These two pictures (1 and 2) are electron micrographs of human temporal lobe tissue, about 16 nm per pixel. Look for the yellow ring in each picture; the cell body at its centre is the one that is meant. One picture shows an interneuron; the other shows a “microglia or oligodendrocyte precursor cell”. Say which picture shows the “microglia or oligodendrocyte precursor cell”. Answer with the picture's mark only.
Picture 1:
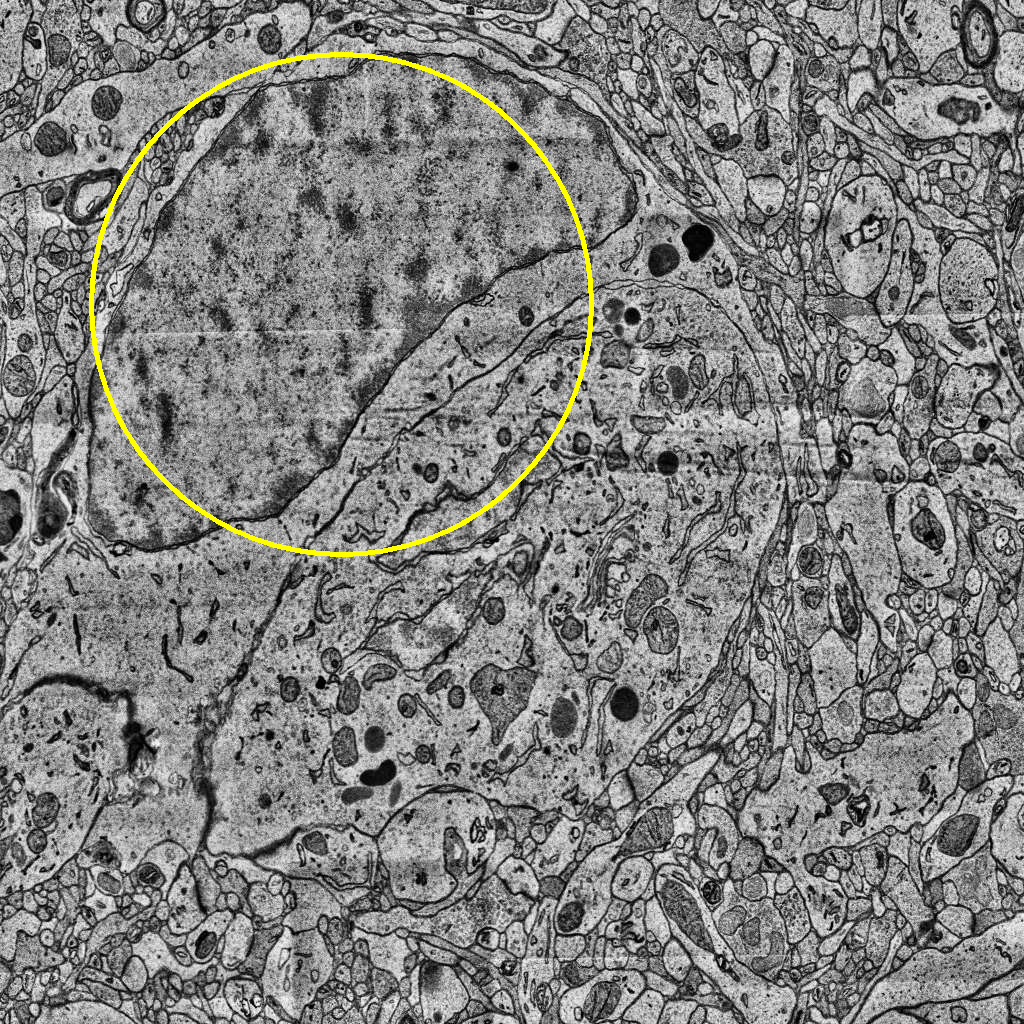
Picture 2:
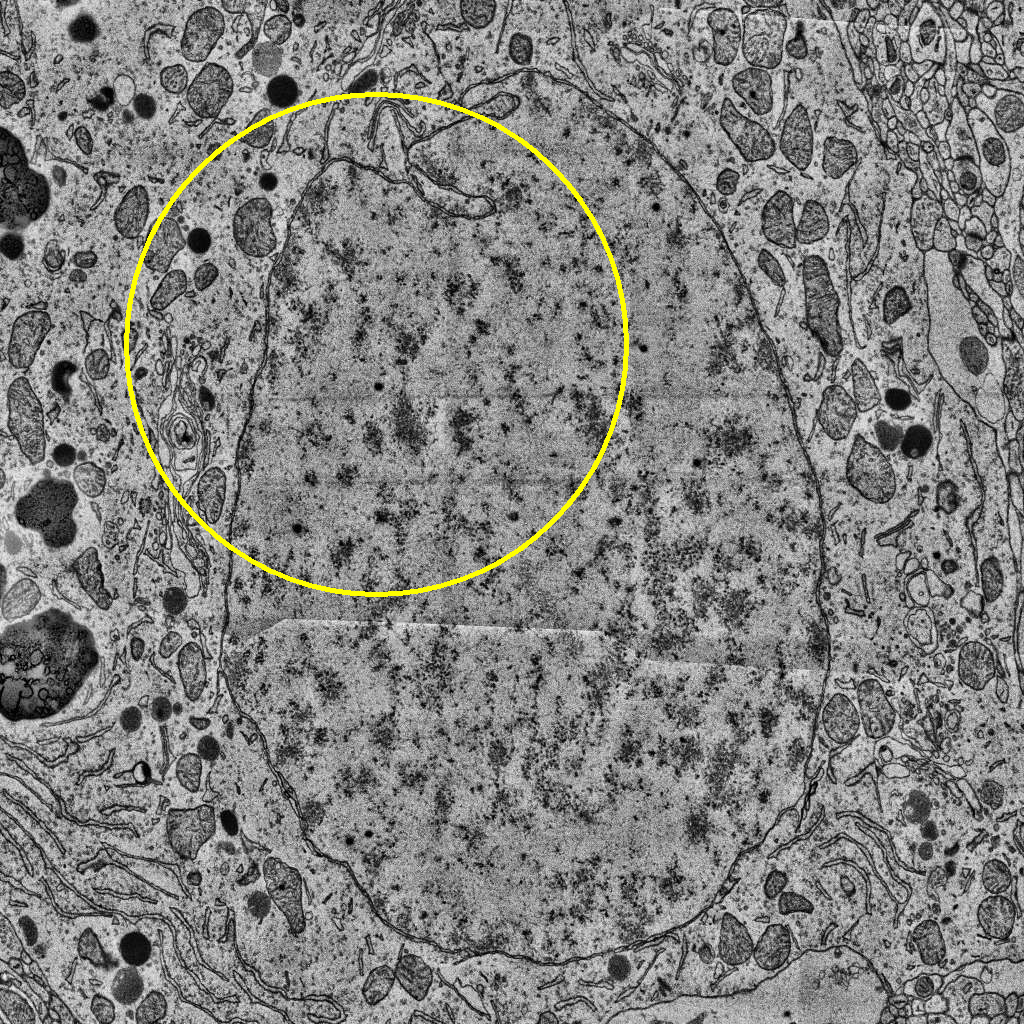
1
